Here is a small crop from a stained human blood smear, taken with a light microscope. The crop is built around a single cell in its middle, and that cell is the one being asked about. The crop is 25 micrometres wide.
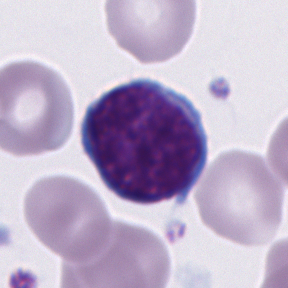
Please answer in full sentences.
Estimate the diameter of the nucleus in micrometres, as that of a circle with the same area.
It measures about 10 micrometres across.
